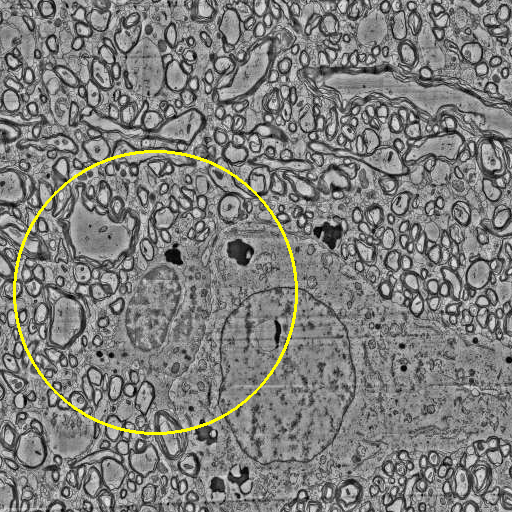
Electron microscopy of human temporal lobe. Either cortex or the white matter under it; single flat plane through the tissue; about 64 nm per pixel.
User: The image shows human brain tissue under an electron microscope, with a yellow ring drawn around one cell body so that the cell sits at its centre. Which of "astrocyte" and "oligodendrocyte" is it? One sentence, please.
At the centre of the ring sits an oligodendrocyte.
